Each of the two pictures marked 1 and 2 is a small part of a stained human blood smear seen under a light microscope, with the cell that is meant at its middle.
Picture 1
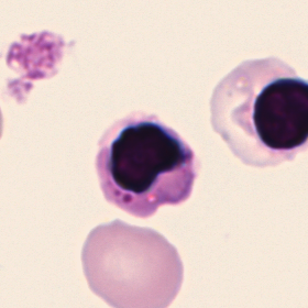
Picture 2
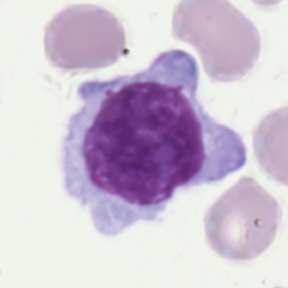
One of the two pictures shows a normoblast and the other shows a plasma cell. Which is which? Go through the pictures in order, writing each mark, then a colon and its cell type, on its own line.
1: normoblast
2: plasma cell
